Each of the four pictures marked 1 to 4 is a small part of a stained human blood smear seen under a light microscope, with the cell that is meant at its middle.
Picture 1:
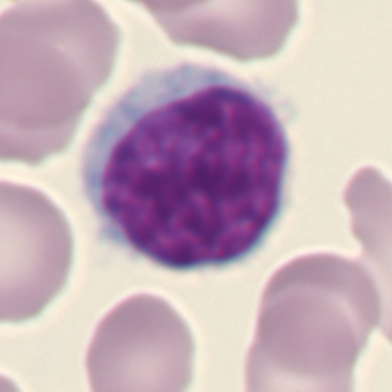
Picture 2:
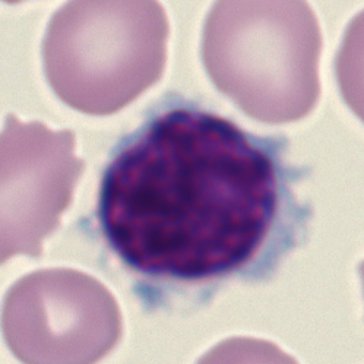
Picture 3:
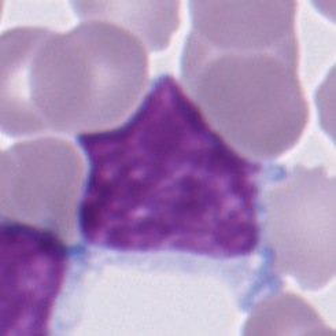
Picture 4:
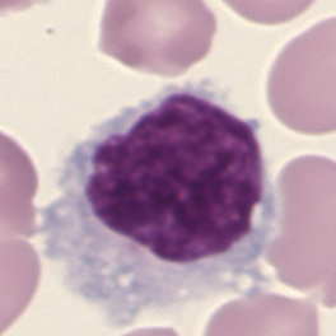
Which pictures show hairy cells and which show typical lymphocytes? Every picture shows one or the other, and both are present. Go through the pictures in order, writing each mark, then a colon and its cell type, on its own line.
1: hairy cell
2: hairy cell
3: typical lymphocyte
4: hairy cell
